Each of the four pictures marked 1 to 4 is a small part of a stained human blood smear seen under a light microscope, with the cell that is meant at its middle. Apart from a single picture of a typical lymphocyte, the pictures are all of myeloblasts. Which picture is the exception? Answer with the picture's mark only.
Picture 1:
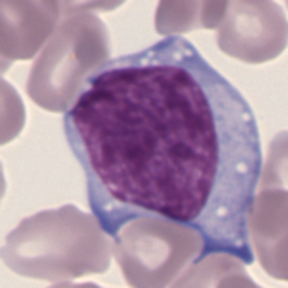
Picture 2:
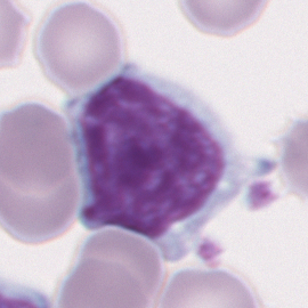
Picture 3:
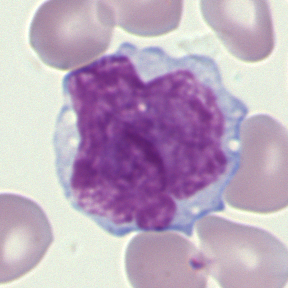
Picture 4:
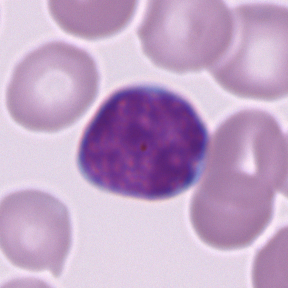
2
